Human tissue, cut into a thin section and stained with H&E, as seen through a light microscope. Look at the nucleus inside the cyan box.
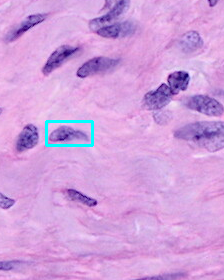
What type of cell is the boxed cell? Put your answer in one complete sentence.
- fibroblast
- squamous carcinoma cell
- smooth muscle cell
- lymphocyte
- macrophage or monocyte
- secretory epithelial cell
As far as its identity is concerned, the boxed cell is a fibroblast.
